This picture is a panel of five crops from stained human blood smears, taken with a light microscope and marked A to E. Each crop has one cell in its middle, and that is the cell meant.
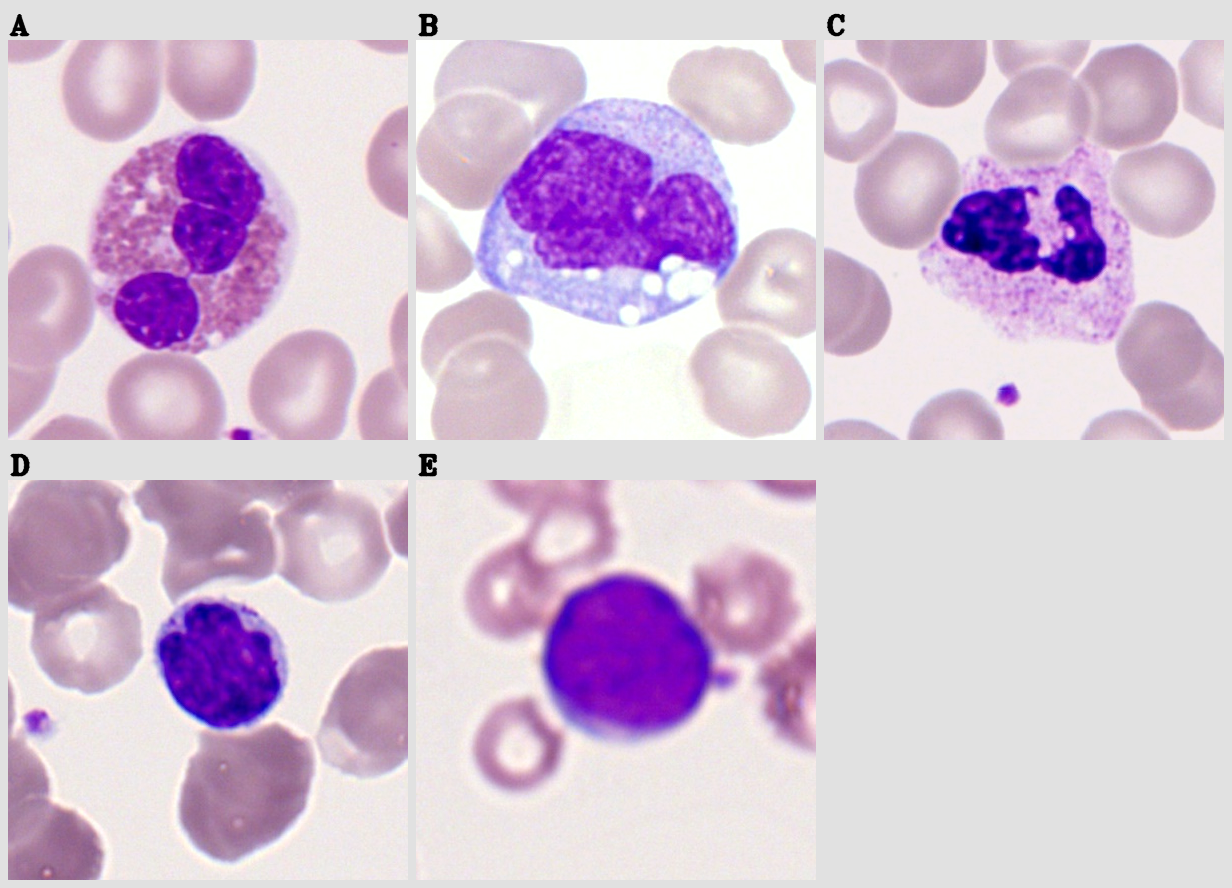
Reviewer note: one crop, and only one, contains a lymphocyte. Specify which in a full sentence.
The crop carrying a lymphocyte at the center is crop D.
